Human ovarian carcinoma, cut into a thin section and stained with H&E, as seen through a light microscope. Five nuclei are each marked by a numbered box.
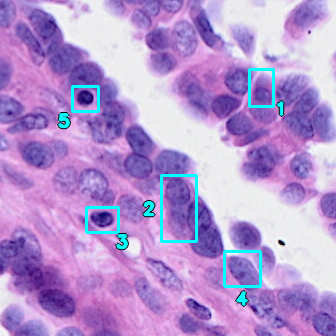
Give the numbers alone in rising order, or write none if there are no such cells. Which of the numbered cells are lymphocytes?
3, 5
